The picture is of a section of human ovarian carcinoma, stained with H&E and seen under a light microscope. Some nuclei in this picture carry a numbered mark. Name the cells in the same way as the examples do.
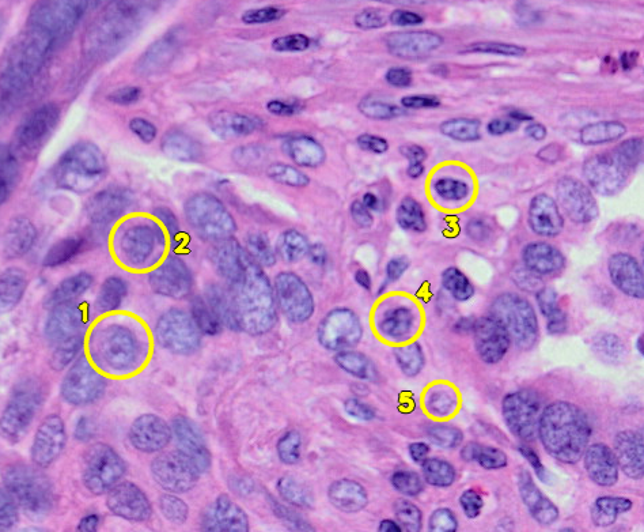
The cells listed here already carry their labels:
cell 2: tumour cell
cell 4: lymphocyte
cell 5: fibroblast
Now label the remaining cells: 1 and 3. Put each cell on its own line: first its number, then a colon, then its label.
1: tumour cell
3: lymphocyte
